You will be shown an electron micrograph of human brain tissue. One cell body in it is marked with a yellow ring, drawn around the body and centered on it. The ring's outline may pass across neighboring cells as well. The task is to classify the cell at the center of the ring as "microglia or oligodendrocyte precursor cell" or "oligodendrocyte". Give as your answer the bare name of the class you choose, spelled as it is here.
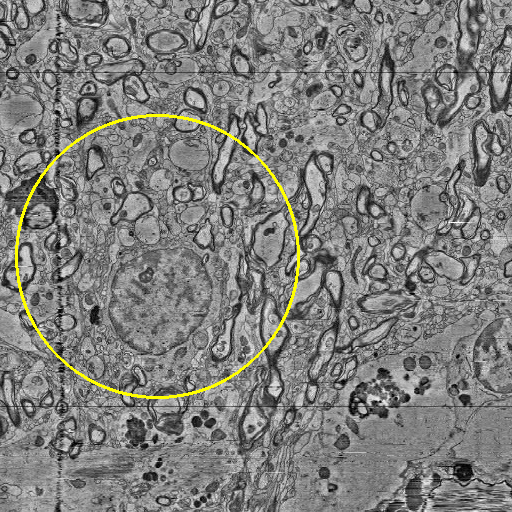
oligodendrocyte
